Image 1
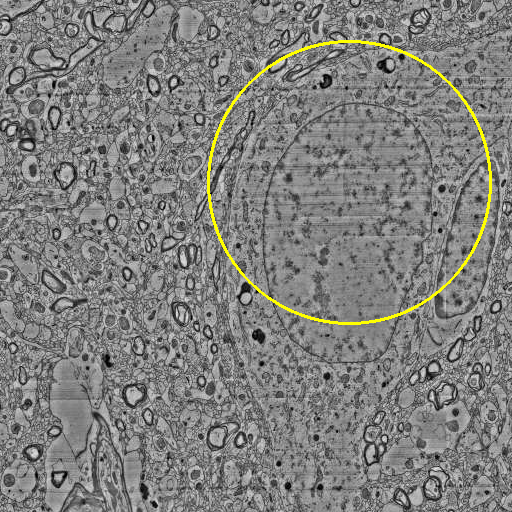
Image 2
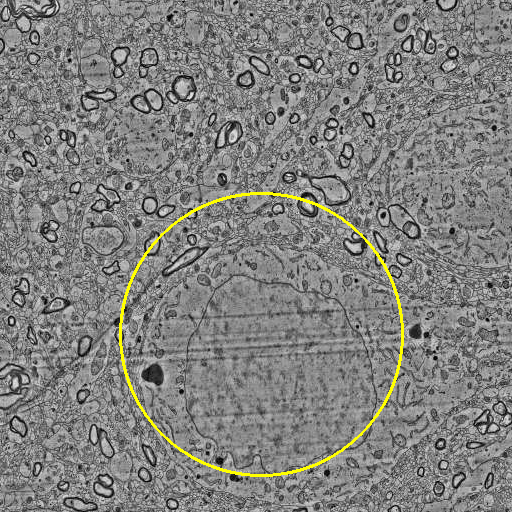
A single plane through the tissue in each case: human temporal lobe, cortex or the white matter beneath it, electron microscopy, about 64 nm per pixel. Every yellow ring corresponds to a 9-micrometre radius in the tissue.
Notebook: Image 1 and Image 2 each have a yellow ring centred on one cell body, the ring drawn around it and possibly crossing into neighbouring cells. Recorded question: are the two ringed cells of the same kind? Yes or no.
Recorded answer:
yes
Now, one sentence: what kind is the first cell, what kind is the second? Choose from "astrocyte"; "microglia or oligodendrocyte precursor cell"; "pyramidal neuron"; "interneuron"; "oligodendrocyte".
The second cell is a pyramidal neuron, just as the first is.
